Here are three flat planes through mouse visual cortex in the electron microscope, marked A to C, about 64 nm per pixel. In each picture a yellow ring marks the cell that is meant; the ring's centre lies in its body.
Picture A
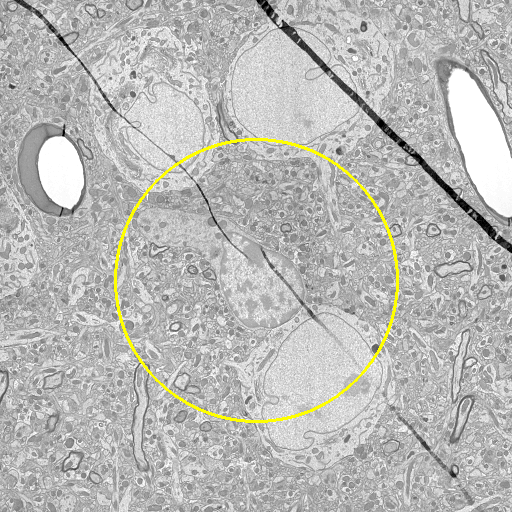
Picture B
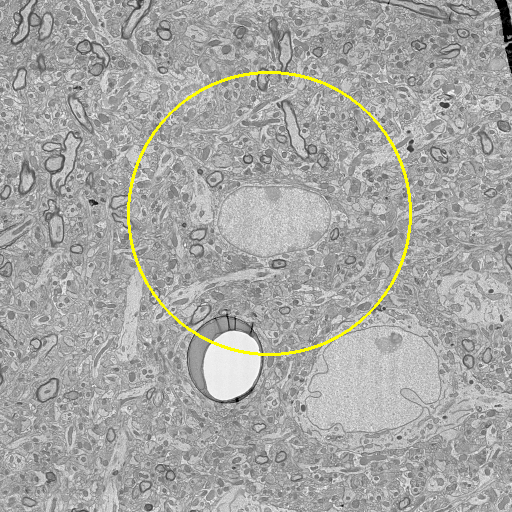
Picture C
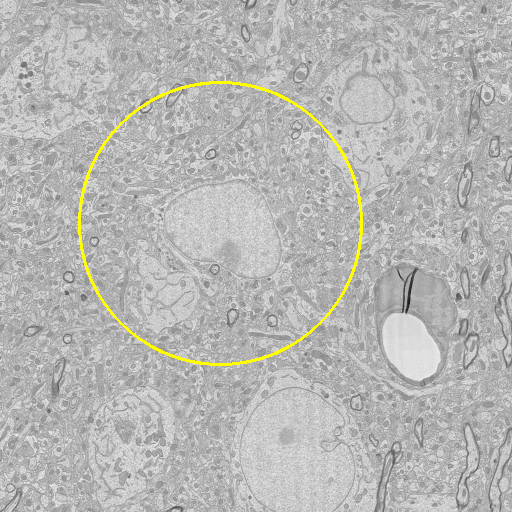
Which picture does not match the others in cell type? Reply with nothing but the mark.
A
